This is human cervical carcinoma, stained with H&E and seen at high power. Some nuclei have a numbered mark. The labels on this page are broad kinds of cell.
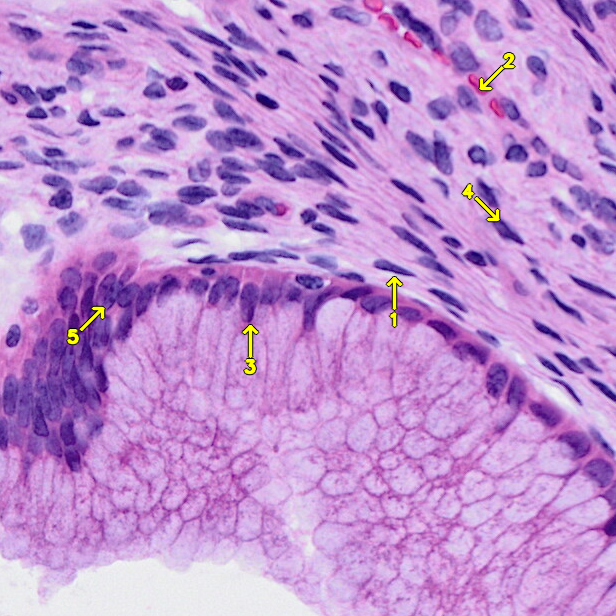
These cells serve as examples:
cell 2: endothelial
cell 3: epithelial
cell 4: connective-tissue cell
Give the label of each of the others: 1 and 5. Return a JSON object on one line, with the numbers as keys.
{"1": "connective-tissue cell", "5": "epithelial"}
